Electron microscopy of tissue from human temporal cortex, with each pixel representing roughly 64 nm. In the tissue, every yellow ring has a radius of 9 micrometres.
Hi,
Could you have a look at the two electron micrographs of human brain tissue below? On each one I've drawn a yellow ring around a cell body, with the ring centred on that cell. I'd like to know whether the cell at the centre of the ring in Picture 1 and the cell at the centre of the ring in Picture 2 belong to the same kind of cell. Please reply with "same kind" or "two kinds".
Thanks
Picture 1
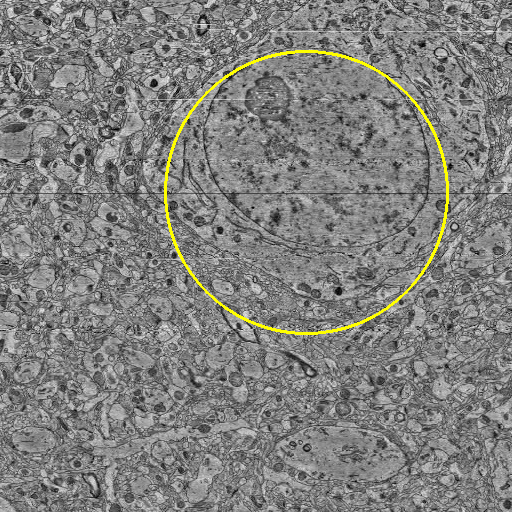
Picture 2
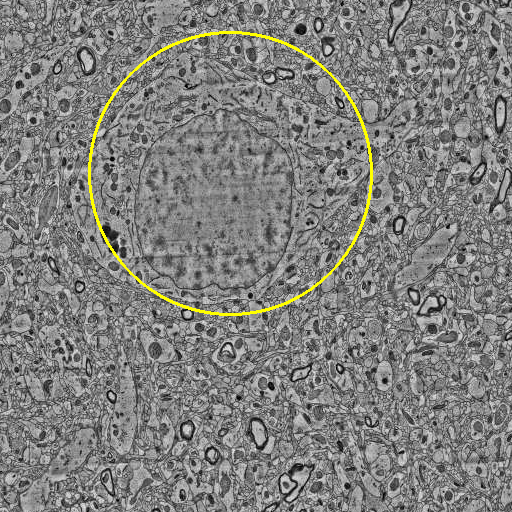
two kinds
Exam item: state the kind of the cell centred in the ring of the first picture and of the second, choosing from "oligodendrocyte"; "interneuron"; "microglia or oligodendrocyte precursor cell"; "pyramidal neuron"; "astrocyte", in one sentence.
The first picture shows a pyramidal neuron at the ring centre and the second shows an interneuron.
